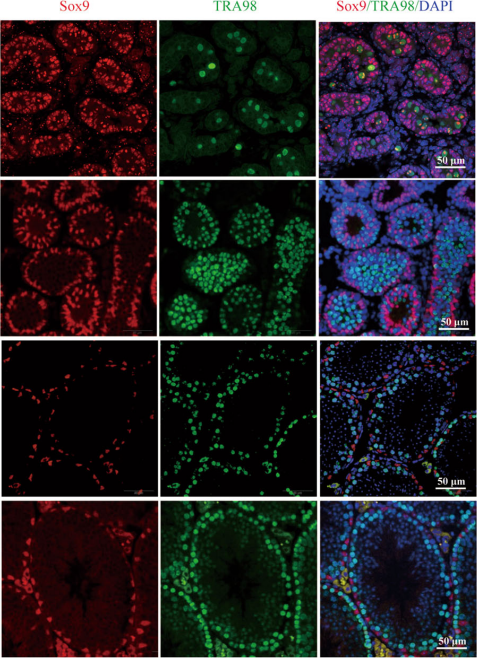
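In the bottom row a large tubule shows many layers of cells around a central lumen, with the red nuclei still at the periphery. Blue nuclei also lie in the narrow spaces between tubules.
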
